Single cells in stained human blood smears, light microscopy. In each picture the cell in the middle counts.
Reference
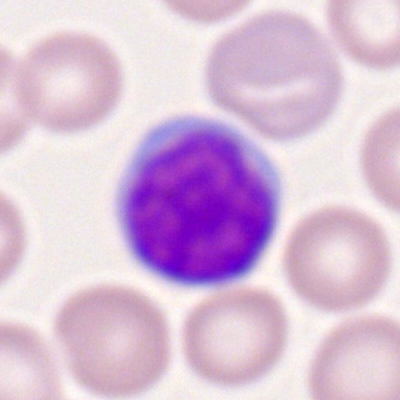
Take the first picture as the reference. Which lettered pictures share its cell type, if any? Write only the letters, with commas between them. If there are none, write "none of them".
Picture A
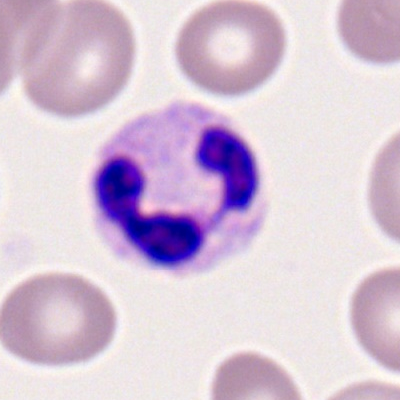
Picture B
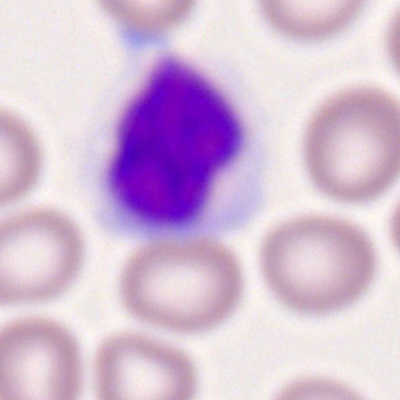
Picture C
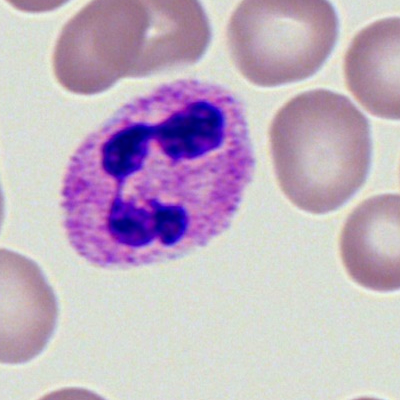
B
